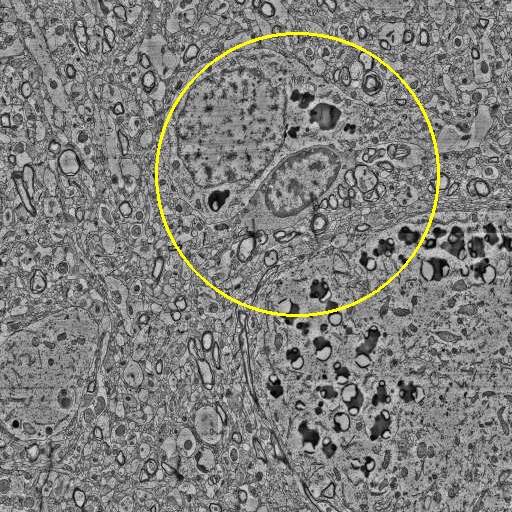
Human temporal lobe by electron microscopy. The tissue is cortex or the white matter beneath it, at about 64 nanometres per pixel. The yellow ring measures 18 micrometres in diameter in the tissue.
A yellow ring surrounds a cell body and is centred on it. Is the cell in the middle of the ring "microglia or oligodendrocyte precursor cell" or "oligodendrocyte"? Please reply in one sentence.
The ring is centred on an oligodendrocyte.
